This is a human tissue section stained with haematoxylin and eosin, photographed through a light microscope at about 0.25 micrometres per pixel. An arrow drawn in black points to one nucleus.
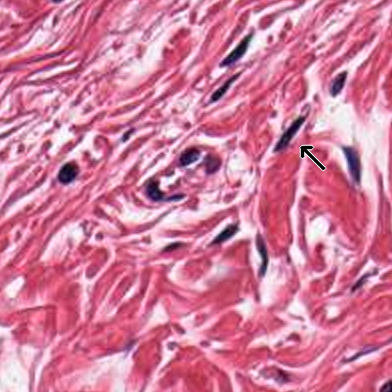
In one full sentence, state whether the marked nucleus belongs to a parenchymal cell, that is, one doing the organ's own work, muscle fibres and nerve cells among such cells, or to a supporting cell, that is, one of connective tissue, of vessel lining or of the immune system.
The nucleus that is marked belongs to a supporting cell.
